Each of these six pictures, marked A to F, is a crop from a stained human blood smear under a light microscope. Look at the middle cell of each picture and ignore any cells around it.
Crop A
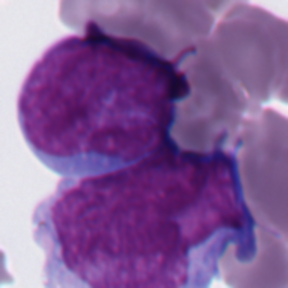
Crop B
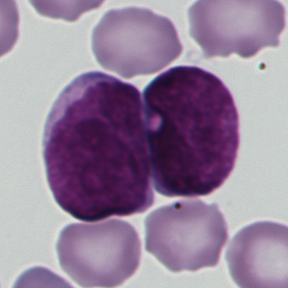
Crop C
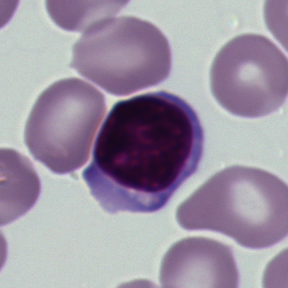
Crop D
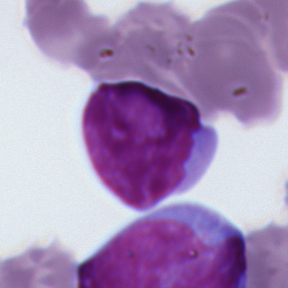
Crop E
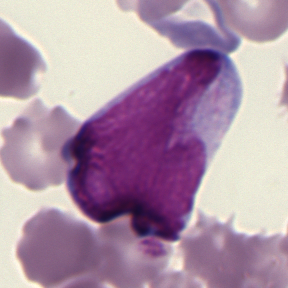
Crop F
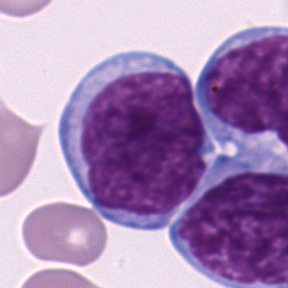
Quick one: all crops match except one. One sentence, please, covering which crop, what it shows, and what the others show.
With the other crops all showing myeloblasts, crop C differs by showing a typical lymphocyte.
